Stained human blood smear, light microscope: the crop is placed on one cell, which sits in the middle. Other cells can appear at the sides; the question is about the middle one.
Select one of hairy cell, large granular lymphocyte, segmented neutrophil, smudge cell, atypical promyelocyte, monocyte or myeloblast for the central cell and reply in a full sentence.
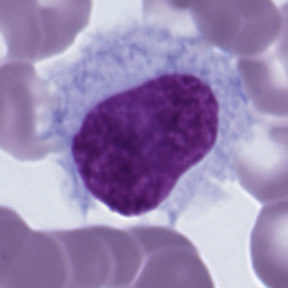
The cell in the middle of this crop is a hairy cell.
